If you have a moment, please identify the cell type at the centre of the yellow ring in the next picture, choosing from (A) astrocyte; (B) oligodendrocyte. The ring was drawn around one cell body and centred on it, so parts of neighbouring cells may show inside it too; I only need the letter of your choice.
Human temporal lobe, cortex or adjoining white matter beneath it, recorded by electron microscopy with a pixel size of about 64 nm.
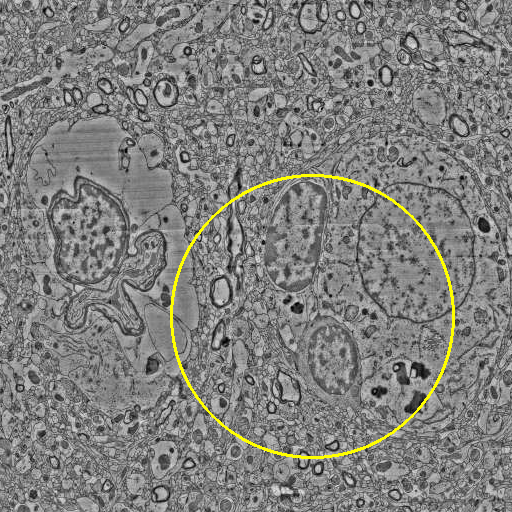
B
